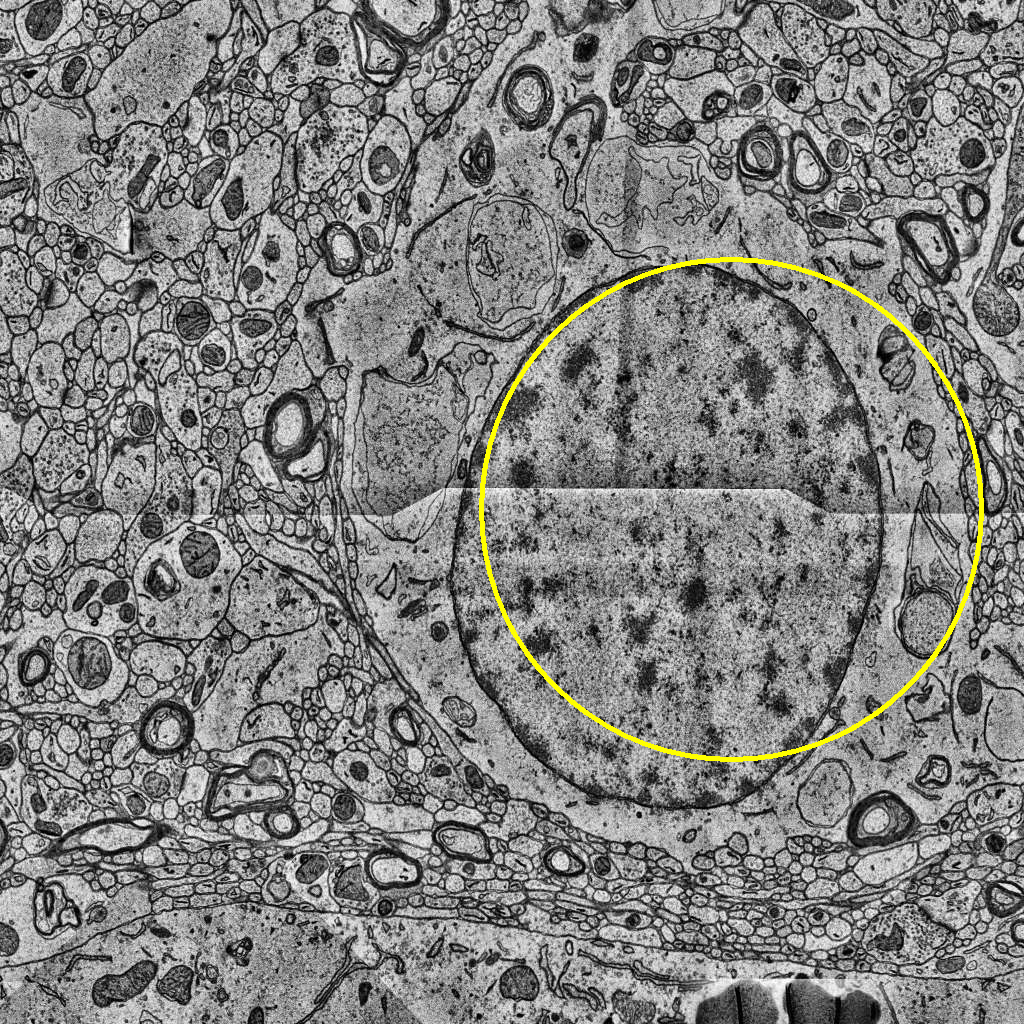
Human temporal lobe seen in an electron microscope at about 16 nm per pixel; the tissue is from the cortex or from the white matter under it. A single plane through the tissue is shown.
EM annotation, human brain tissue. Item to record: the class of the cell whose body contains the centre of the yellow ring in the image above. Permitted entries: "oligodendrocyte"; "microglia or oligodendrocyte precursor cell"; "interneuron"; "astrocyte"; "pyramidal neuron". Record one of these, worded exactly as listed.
astrocyte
